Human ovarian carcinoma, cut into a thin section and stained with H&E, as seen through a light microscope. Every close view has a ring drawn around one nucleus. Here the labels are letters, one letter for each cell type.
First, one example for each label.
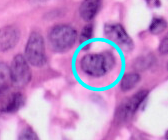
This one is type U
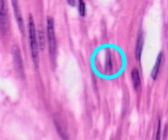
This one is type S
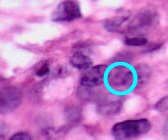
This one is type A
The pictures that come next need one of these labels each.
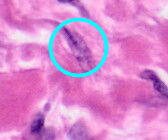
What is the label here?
type S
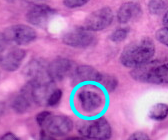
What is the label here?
type U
